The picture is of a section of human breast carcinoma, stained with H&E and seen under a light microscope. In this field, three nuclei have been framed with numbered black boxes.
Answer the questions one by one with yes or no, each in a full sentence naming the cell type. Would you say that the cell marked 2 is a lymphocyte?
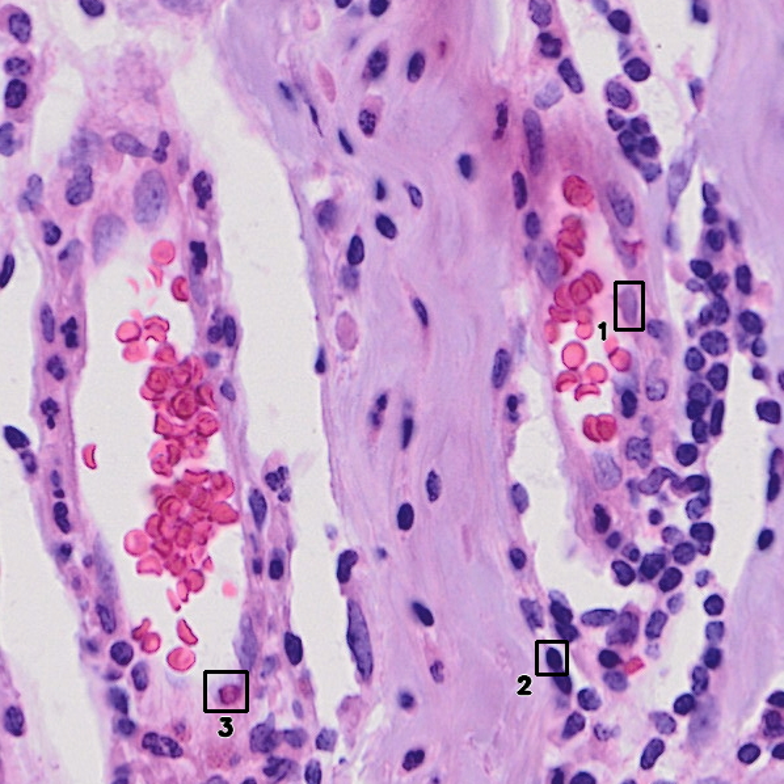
Yes, correct, the cell with the number 2 is a lymphocyte.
